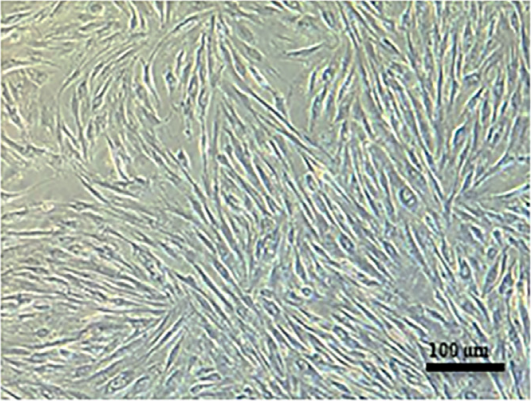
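The cells are long, slender and spindle-shaped, tapering at both ends, with small oval nuclei in the middle of the cell body. They lie closely side by side in parallel bundles that curve and swirl across the field, forming fan-like and whorled arrays where groups of cells meet at different angles. The layer is nearly confluent, with few gaps between cells, and the cell outlines appear bright against a grey-green background.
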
